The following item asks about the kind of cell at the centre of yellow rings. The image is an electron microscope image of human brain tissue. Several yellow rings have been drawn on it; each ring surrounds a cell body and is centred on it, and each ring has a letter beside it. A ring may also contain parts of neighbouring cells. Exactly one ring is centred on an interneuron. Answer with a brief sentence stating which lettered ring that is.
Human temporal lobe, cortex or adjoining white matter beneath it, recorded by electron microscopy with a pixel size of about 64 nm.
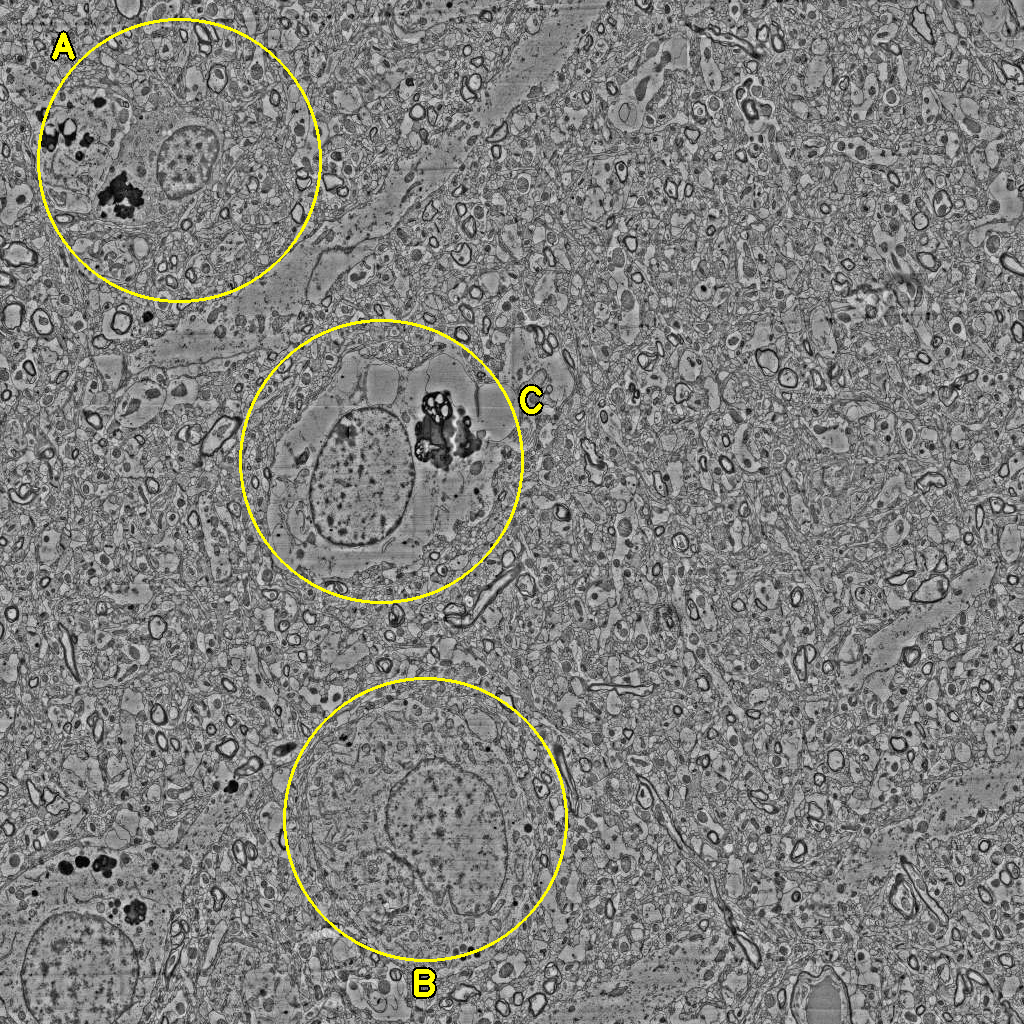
That is ring B.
